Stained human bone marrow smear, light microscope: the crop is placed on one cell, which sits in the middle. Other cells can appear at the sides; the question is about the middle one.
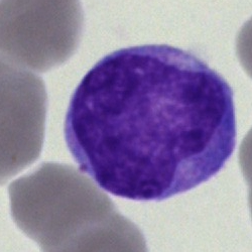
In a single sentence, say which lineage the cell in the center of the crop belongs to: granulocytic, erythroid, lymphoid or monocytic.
The cell positioned centrally in this crop arises from the monocytic lineage.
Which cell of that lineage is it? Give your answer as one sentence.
At the center of the crop sits a monocyte.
